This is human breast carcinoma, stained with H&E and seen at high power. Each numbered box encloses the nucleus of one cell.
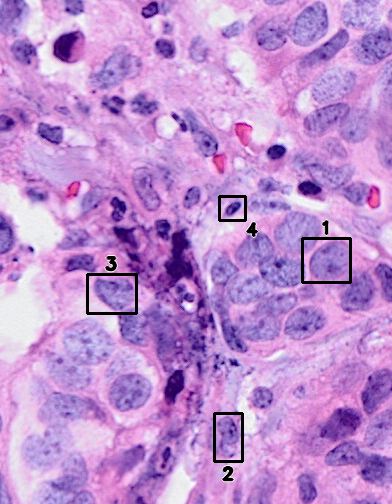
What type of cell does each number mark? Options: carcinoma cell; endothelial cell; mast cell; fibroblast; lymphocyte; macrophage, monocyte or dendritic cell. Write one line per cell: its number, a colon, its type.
1: carcinoma cell
2: macrophage, monocyte or dendritic cell
3: carcinoma cell
4: lymphocyte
